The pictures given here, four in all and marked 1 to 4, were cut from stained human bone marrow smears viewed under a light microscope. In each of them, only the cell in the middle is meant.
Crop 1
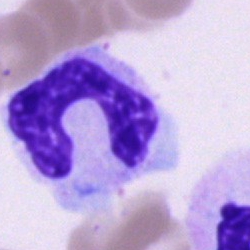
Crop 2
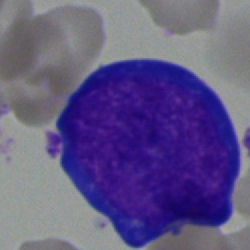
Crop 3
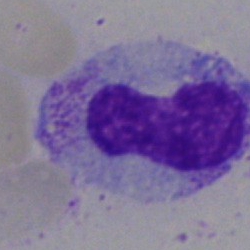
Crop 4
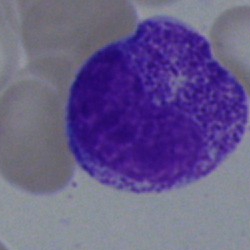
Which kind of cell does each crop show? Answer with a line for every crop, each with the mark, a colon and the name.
1: band neutrophil
2: proerythroblast
3: band neutrophil
4: metamyelocyte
